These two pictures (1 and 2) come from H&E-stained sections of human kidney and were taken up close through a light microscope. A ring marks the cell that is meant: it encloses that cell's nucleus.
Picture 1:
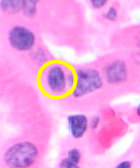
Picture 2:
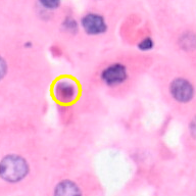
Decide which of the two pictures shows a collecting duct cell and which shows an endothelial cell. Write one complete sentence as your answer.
The cell in picture 1 is a collecting duct cell, and the one in picture 2 is an endothelial cell.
